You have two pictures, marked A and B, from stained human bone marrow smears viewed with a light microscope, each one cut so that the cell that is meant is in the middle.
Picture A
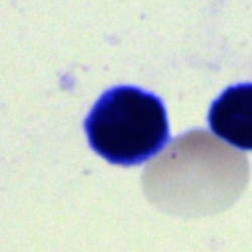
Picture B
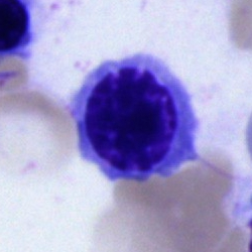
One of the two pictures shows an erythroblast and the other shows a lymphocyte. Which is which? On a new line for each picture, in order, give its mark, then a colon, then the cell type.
A: lymphocyte
B: erythroblast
